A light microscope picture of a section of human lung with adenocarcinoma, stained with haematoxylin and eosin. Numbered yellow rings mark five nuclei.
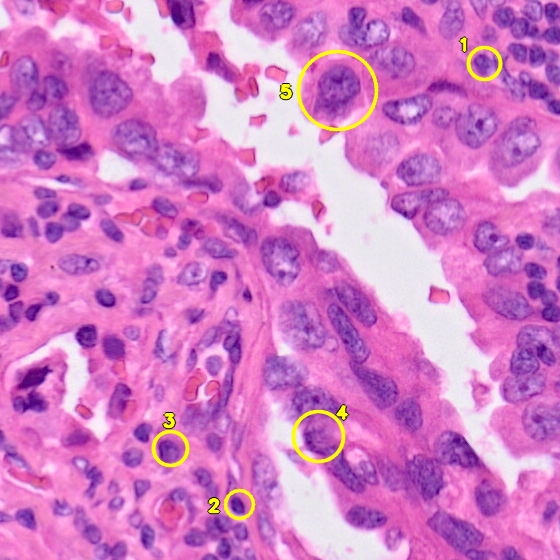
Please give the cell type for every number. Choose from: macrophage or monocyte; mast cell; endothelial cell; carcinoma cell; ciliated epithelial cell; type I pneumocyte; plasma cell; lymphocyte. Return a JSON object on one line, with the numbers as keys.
{"1": "lymphocyte", "2": "lymphocyte", "3": "plasma cell", "4": "carcinoma cell", "5": "carcinoma cell"}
